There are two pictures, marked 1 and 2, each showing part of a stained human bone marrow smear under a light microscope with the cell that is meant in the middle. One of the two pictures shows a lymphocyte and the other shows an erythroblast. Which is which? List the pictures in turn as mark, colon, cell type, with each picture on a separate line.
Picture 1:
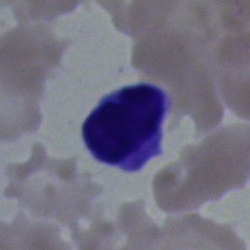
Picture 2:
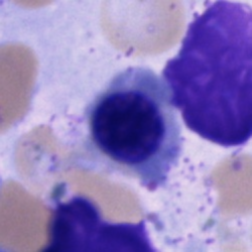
1: lymphocyte
2: erythroblast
